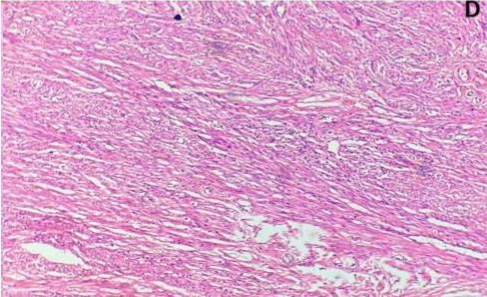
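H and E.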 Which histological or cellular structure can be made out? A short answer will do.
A: Interlacing bundles of spindle cells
